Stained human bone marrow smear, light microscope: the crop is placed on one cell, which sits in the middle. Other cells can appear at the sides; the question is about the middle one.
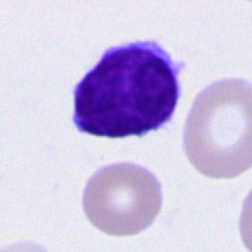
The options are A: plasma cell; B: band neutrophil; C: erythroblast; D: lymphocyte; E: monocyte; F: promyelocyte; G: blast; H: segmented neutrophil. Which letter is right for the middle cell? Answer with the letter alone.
D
